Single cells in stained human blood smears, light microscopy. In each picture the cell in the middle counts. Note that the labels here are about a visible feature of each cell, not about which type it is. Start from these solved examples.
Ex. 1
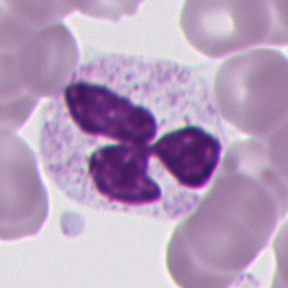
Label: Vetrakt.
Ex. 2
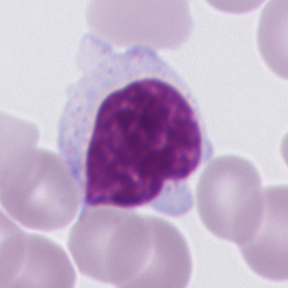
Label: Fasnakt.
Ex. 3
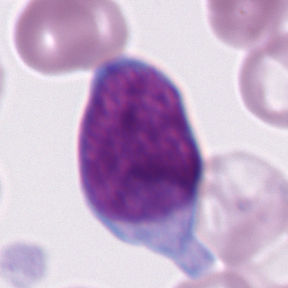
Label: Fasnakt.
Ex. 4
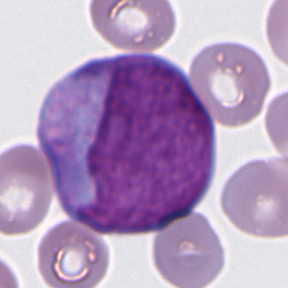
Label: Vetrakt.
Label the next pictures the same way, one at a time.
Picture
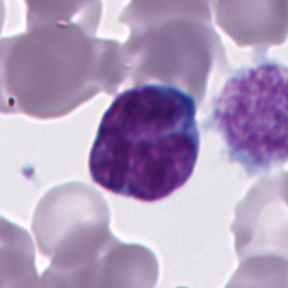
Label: Vetrakt.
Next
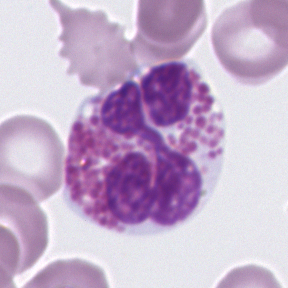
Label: Vetrakt.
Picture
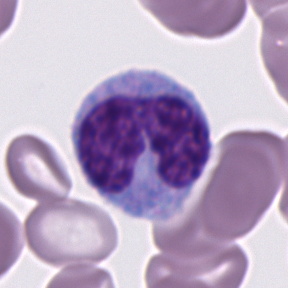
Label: Vetrakt.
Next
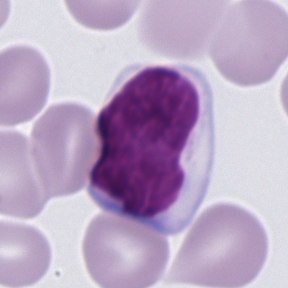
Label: Vetrakt.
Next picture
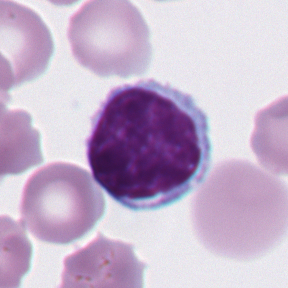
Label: Fasnakt.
